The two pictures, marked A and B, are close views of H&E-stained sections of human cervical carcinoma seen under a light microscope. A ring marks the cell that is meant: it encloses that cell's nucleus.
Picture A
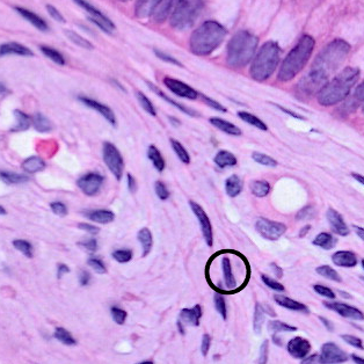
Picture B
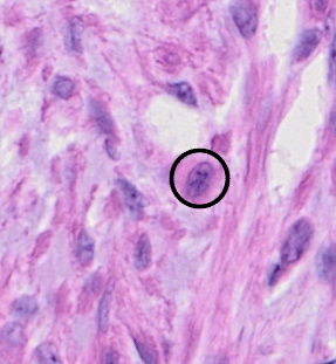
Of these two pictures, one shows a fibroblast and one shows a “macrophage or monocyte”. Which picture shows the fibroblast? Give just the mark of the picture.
A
